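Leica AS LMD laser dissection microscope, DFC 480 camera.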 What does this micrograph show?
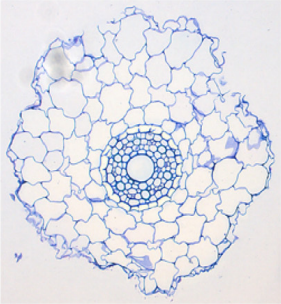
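A transverse section with blue-stained cell walls shows a broad outer zone of large, thin-walled, polygonal cells with spaces between them, around a compact central cylinder of many small, thicker-walled cells. At the very centre of that cylinder lies one large, round, empty cell. The loose outer zone is the cortex, the compact central cylinder is the stele bounded by the endodermis, and the large central cell is the central metaxylem.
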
